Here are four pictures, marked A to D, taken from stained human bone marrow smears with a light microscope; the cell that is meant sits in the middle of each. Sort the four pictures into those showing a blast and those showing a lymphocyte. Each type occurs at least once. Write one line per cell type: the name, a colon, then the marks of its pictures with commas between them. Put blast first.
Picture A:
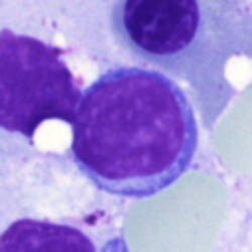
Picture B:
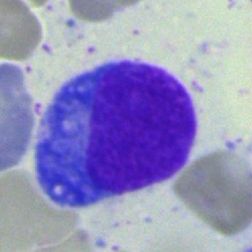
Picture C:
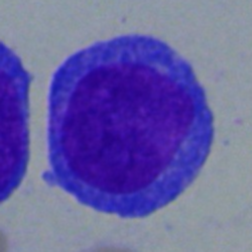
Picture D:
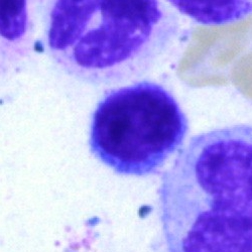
blast: B, C
lymphocyte: A, D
